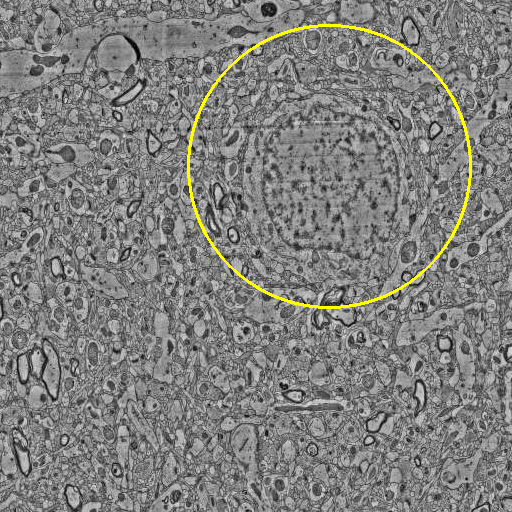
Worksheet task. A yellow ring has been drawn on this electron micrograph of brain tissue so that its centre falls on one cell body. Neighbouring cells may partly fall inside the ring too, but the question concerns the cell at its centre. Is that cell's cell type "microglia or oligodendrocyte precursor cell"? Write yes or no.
no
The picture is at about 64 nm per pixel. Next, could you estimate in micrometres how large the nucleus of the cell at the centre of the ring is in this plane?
In this plane the nucleus measures roughly 10 by 9 micrometers.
